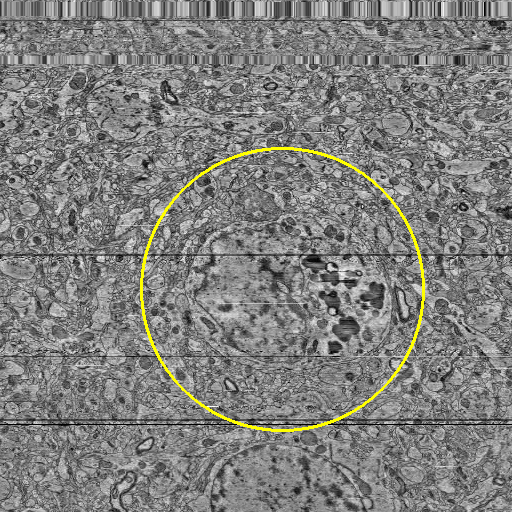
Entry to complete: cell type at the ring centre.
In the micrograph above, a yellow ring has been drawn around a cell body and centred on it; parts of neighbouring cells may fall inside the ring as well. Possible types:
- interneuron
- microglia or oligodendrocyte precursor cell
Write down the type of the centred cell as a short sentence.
The ring is centred on an interneuron.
